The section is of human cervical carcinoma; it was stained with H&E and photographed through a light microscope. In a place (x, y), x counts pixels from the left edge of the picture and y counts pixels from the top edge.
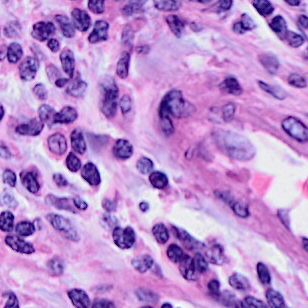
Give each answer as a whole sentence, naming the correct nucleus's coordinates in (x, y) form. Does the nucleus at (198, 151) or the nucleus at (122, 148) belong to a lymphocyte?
The nucleus of the pair that lies within a lymphocyte is at (122, 148).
